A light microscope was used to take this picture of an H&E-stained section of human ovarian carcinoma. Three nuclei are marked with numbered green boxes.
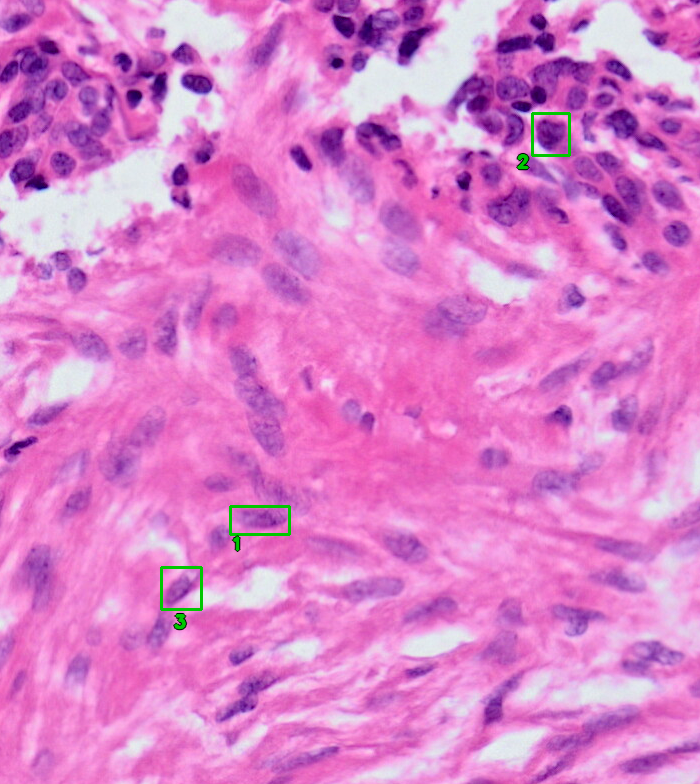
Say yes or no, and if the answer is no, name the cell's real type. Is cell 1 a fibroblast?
Yes.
